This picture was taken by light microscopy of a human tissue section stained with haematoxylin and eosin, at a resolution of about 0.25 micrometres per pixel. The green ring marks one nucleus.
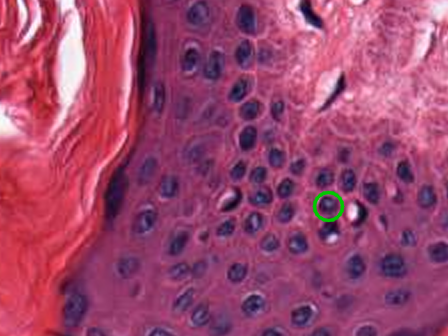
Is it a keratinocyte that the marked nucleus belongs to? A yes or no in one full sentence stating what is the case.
Yes, here the marked nucleus belongs to a keratinocyte.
